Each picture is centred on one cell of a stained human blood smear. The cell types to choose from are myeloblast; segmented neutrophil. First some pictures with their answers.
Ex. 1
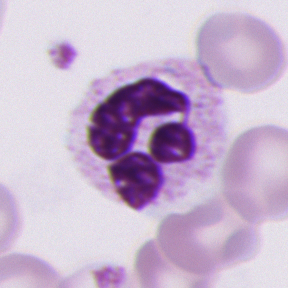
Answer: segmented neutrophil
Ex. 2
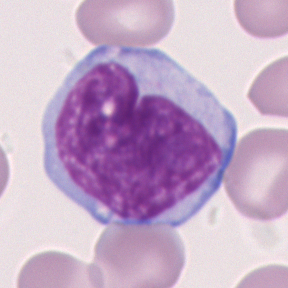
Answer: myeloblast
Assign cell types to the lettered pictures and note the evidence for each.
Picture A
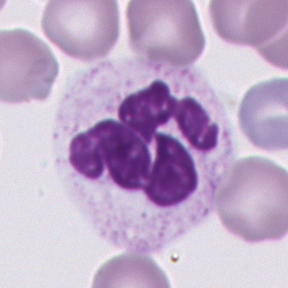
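Label: segmented neutrophil. The cytoplasm is abundant and pale lilac-pink.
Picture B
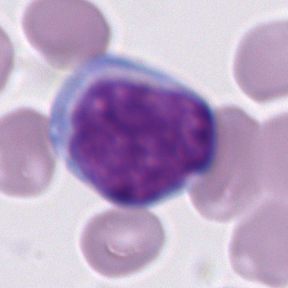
Label: myeloblast. The cytoplasm is a narrow pale-blue rim, widest along the left and upper edge.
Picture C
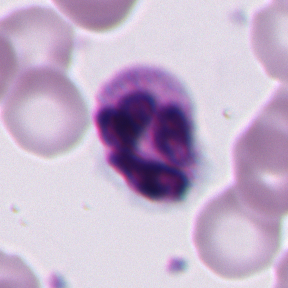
Label: segmented neutrophil. The nucleus is divided into several lobes curving around a pale central gap.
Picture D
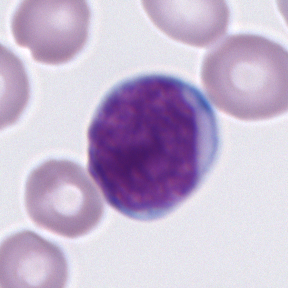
Label: myeloblast. The cytoplasm is a thin rim that is widest on the right side.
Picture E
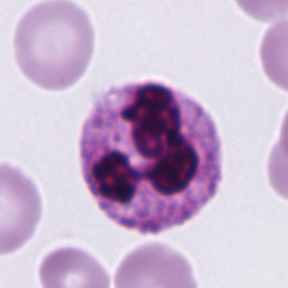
Label: segmented neutrophil. The cytoplasm is plentiful and pinkish-lilac.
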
